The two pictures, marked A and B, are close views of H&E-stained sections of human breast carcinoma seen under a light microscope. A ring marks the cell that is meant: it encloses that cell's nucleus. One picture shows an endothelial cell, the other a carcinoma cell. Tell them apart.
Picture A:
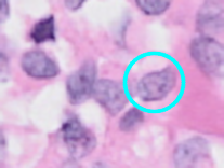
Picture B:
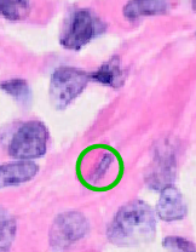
A: carcinoma cell
B: endothelial cell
